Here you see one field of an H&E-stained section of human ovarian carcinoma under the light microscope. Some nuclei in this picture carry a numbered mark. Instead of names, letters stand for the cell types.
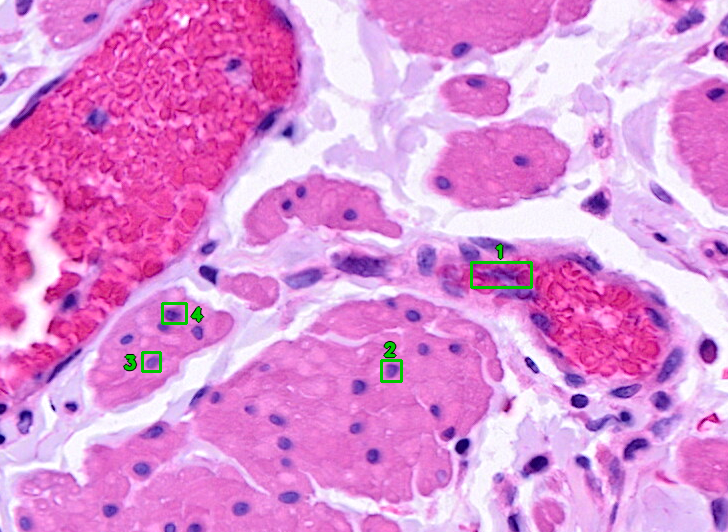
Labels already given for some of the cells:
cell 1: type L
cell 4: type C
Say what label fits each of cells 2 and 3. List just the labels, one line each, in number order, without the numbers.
type C
type C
